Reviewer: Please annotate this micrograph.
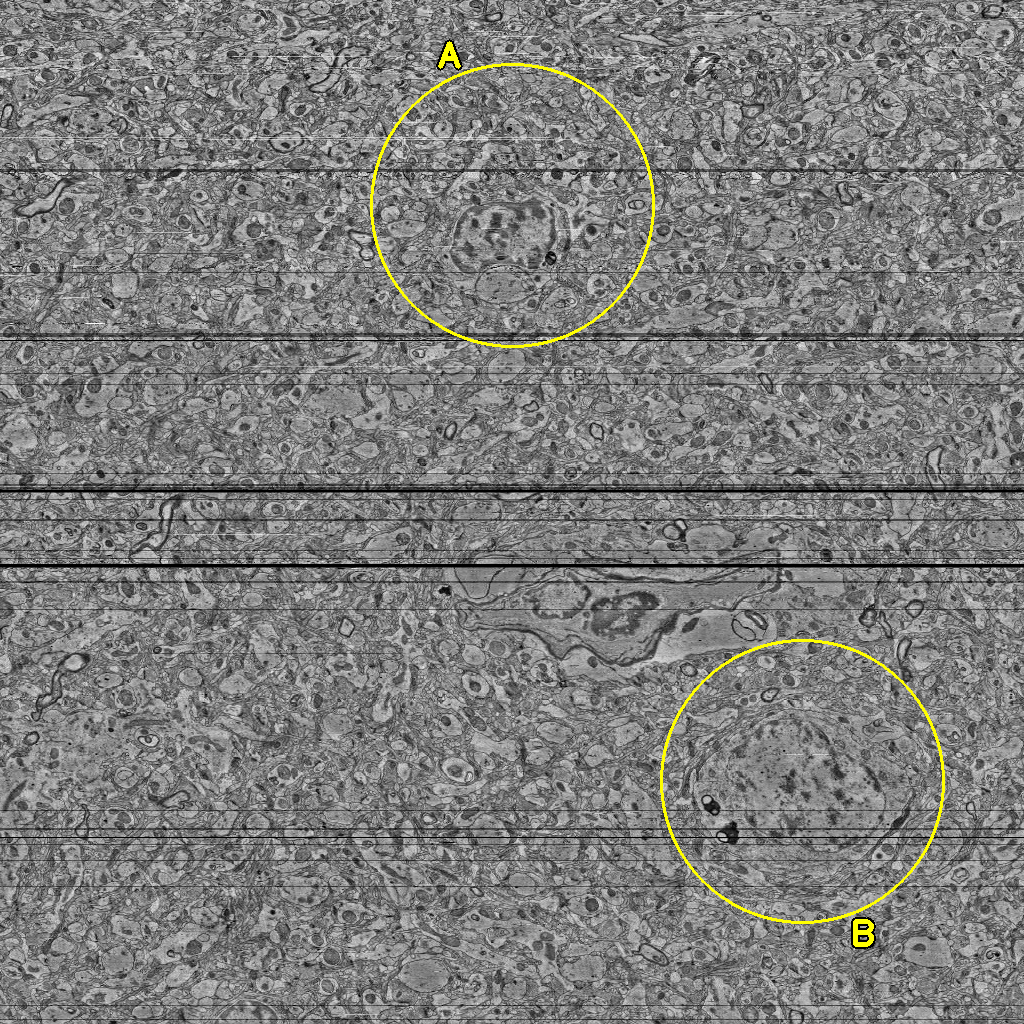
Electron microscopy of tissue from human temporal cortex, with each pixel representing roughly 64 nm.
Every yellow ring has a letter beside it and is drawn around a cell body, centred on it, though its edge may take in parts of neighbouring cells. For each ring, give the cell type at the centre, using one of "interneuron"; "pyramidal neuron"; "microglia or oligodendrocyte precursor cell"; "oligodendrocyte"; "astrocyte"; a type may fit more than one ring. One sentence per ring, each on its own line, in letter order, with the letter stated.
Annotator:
The cell in the middle of ring A is a microglial cell or oligodendrocyte precursor cell.
The cell in the middle of ring B is an interneuron.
